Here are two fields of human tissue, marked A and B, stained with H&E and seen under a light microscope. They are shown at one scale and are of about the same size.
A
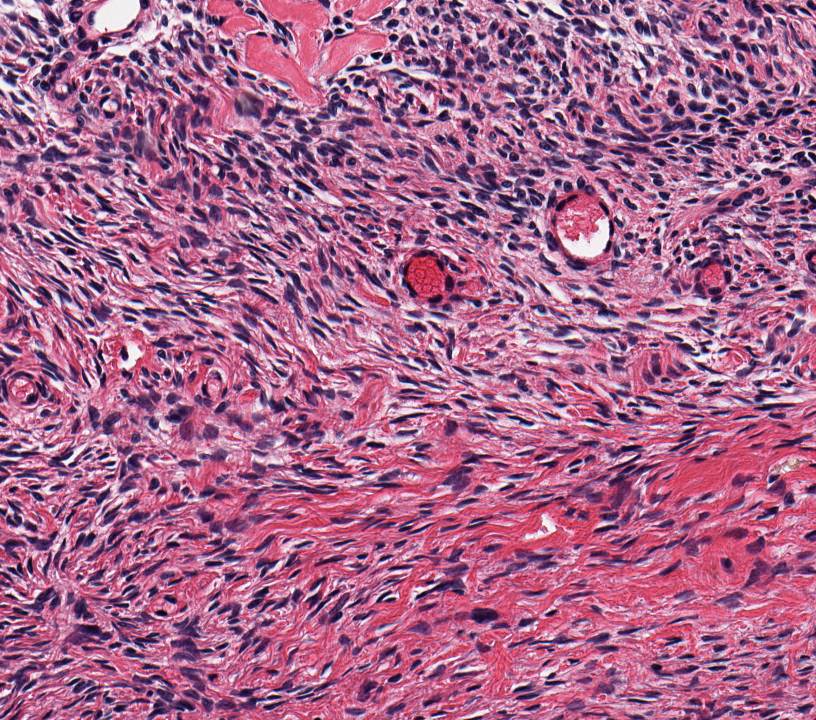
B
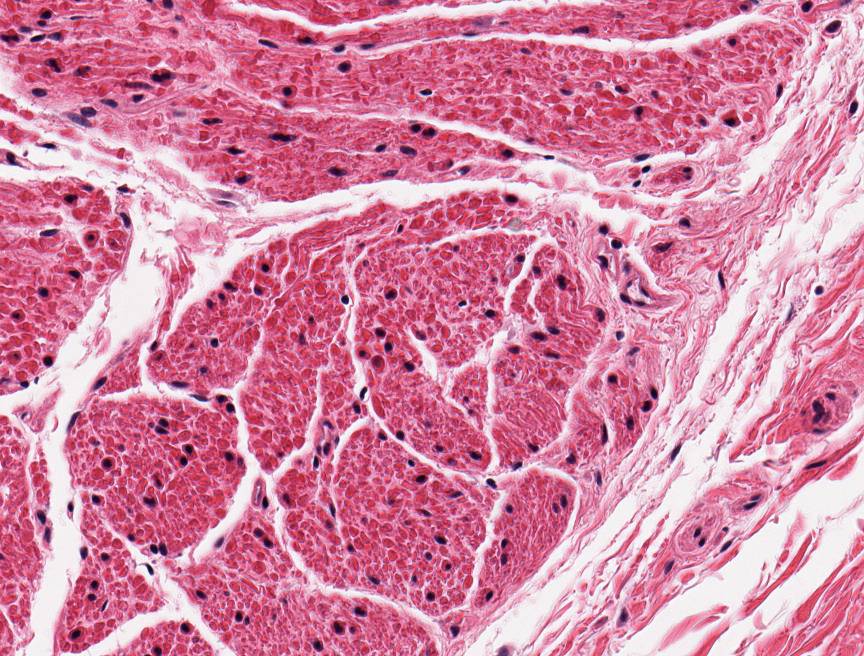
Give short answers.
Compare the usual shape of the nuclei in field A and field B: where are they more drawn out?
A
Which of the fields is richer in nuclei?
A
